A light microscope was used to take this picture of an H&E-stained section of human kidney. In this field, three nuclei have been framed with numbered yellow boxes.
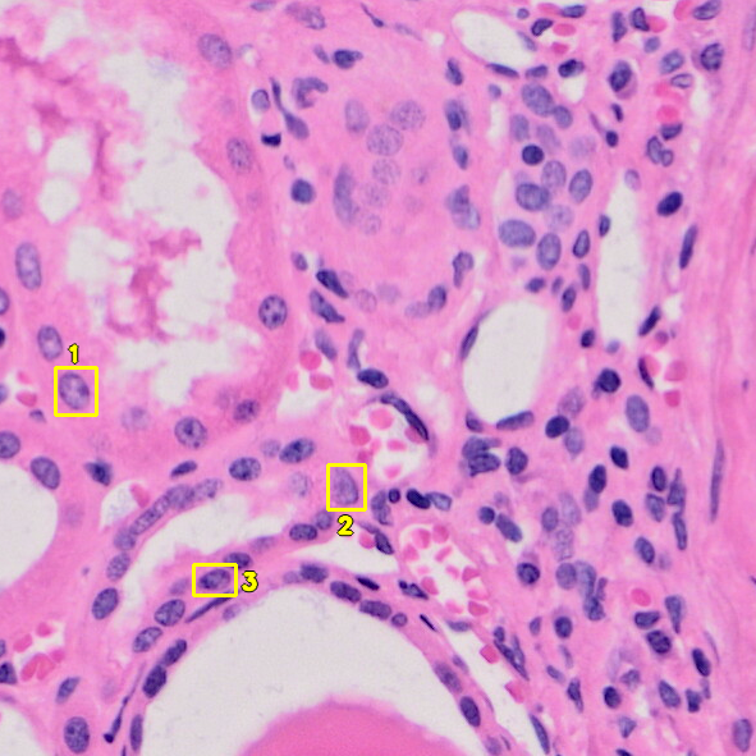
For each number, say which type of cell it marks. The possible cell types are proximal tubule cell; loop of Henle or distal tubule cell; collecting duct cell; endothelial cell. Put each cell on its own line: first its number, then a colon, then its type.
1: proximal tubule cell
2: collecting duct cell
3: collecting duct cell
